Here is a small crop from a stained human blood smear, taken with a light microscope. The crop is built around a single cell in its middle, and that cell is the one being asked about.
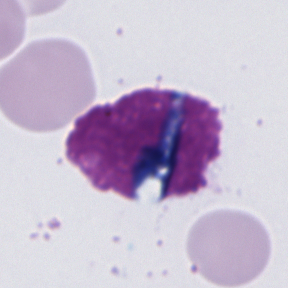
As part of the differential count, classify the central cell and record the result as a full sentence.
Standing at the centre of this crop is a smudge cell.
